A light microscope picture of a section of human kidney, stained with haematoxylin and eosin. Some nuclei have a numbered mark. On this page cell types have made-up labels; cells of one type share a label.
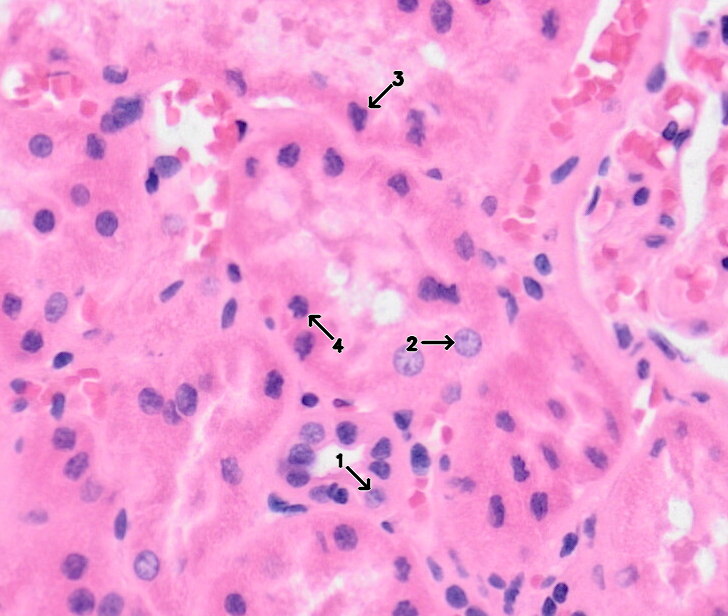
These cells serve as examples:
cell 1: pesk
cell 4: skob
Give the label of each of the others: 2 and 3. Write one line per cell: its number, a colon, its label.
2: skob
3: skob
